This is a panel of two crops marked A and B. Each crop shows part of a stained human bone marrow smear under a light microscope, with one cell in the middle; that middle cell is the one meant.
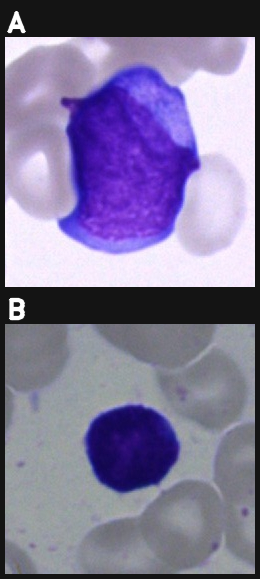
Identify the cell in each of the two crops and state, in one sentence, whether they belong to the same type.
No, crop A carries a blast at its centre, and crop B carries a lymphocyte.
